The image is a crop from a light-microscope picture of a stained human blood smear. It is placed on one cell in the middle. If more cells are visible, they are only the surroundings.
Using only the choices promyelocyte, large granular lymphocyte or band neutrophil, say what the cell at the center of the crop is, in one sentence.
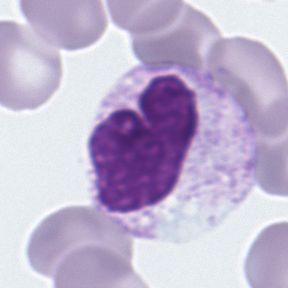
Classification of the middle cell gives a band neutrophil.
